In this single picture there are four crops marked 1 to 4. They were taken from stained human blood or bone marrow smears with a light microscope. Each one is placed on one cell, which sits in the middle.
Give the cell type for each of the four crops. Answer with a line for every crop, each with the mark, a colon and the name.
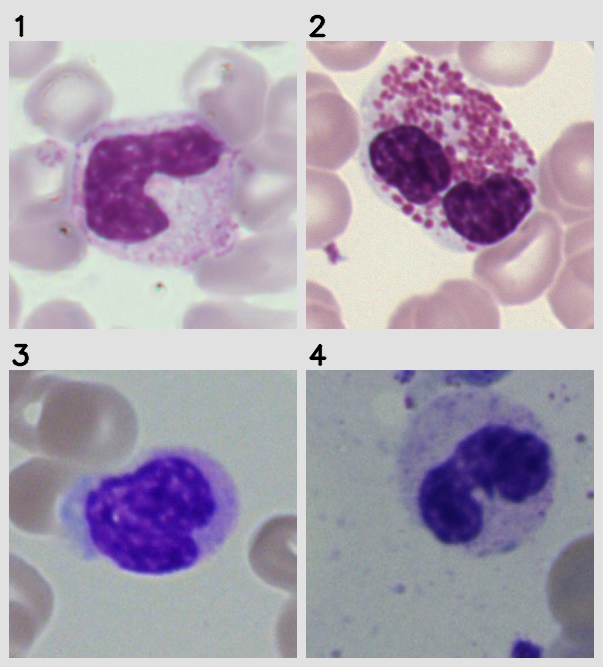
1: band neutrophil
2: eosinophil
3: band neutrophil
4: band neutrophil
